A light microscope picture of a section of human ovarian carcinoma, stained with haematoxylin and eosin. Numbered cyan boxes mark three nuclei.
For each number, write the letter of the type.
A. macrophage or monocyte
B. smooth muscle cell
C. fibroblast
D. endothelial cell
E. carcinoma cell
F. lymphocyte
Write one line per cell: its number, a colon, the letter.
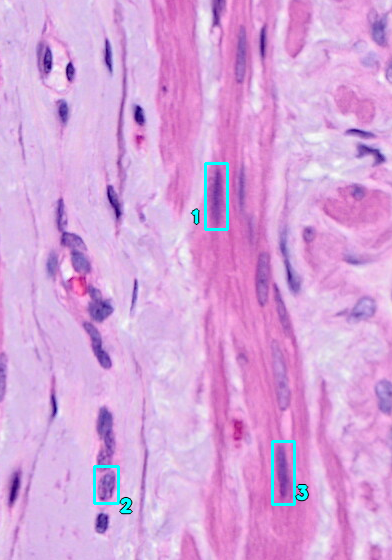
1: B
2: D
3: B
